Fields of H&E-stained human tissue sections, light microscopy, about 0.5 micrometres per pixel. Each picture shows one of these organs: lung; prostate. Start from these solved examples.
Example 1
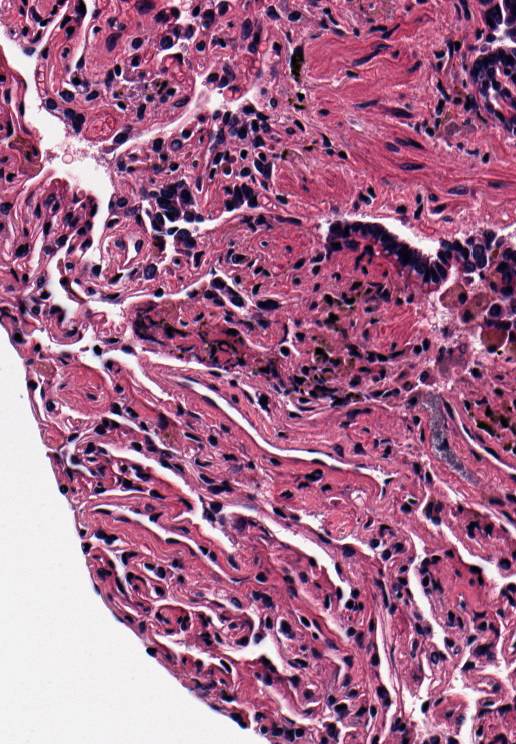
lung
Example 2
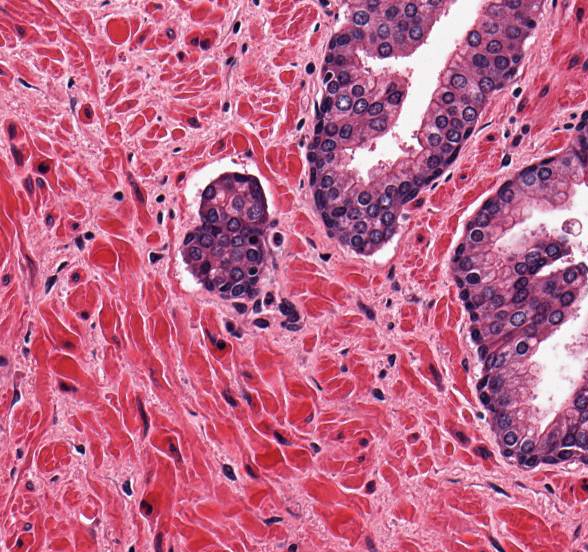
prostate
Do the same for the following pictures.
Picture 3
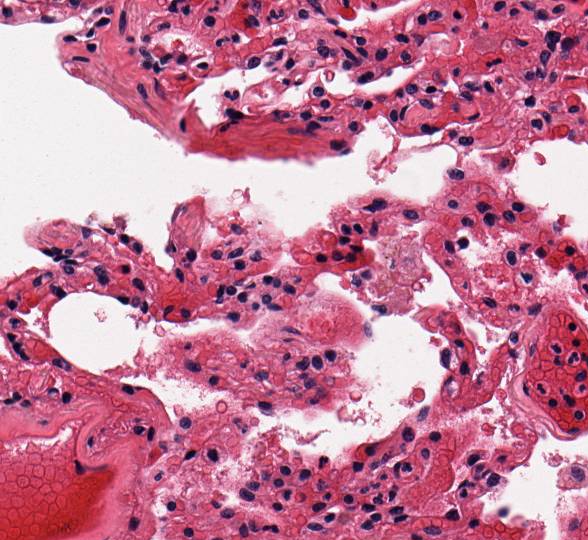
lung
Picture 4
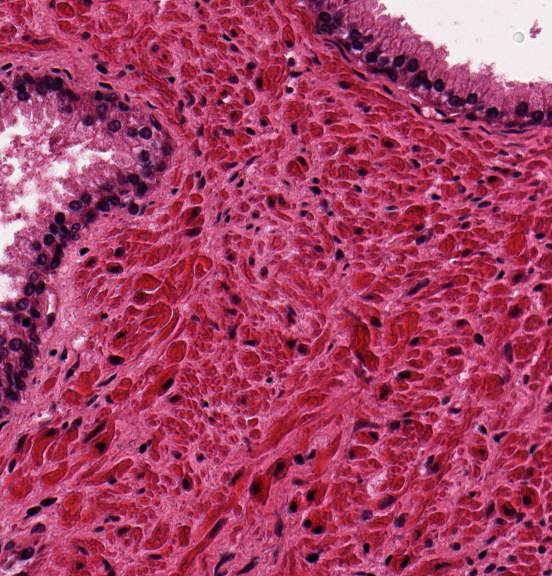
prostate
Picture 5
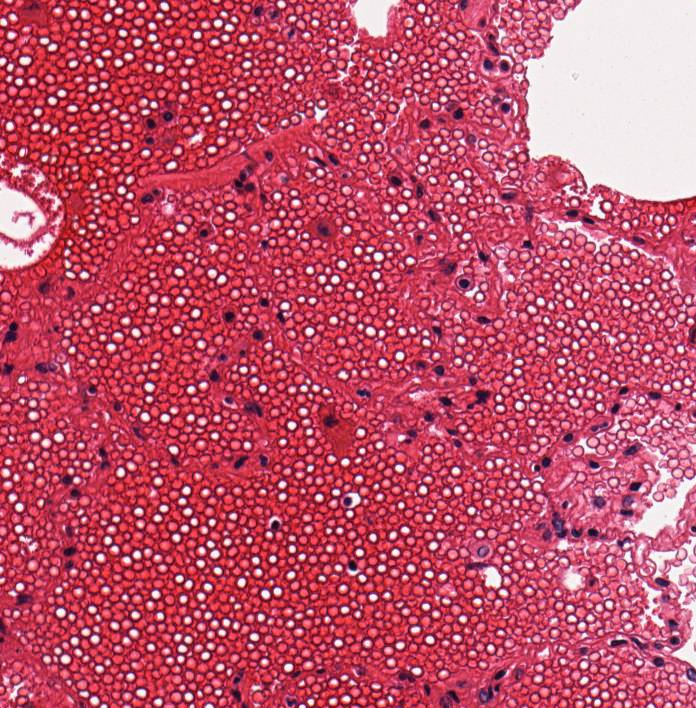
lung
